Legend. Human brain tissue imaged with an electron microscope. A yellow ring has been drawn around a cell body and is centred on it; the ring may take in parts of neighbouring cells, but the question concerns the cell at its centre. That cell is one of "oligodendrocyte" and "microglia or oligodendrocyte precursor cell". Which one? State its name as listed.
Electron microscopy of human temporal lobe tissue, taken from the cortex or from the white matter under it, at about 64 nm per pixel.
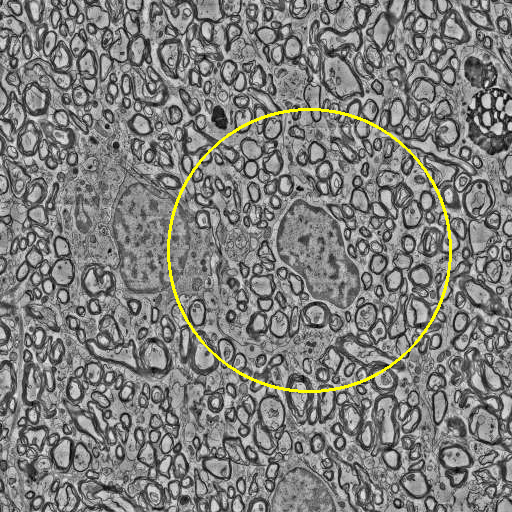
microglia or oligodendrocyte precursor cell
